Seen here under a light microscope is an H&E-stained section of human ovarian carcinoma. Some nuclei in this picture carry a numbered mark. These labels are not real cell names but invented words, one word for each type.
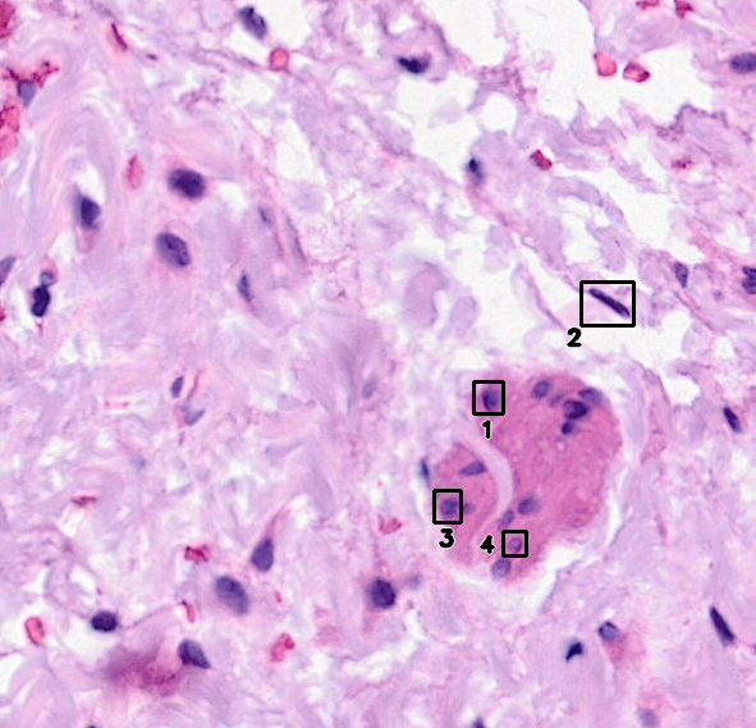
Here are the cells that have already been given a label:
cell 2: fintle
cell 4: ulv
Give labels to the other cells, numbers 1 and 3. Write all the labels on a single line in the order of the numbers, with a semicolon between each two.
ulv; ulv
